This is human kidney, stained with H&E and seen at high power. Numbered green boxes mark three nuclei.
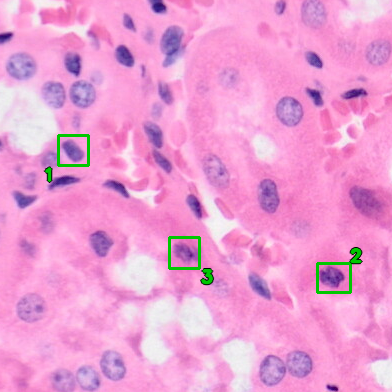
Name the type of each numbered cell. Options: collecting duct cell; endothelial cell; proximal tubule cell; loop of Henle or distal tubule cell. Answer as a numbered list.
1. collecting duct cell
2. proximal tubule cell
3. proximal tubule cell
